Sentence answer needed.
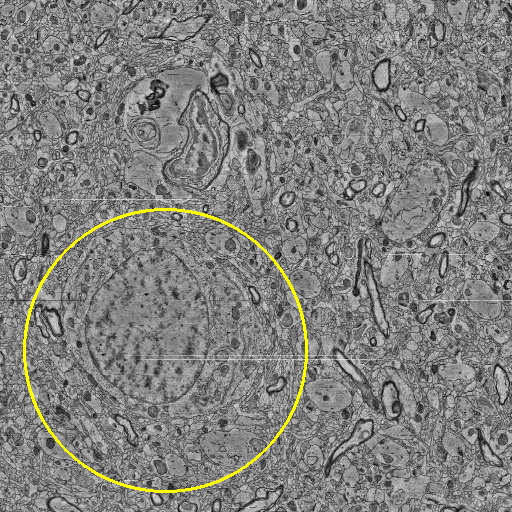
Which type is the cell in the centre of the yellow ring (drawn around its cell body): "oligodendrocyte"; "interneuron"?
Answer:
In the centre of the yellow ring is an interneuron.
